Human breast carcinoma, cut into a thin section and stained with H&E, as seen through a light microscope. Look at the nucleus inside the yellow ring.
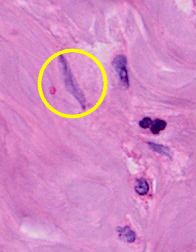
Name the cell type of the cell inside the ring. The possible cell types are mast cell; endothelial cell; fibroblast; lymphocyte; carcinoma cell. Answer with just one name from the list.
fibroblast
